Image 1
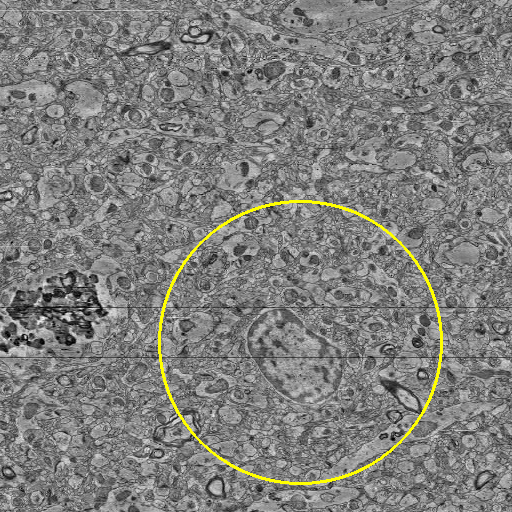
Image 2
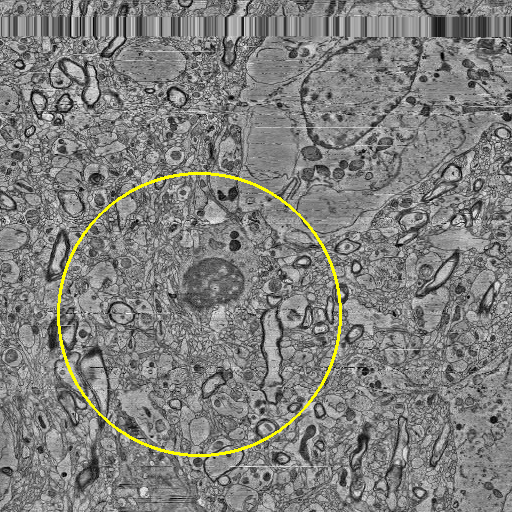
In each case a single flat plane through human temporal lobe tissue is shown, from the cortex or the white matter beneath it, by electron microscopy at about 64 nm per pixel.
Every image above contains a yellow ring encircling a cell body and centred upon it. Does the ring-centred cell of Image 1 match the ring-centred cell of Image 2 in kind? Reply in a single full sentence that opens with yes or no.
No, the cell at the ring's centre in Image 1 is a separate kind from that in Image 2.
